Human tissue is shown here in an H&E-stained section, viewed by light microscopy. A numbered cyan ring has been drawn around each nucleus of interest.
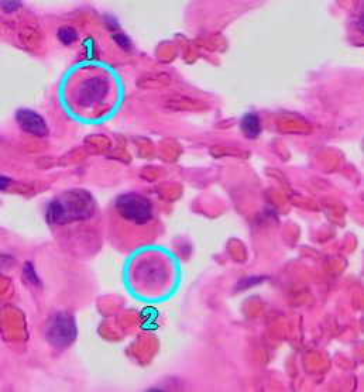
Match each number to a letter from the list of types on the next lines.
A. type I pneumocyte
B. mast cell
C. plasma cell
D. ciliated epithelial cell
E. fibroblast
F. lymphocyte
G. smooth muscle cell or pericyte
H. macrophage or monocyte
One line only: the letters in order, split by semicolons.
A; H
